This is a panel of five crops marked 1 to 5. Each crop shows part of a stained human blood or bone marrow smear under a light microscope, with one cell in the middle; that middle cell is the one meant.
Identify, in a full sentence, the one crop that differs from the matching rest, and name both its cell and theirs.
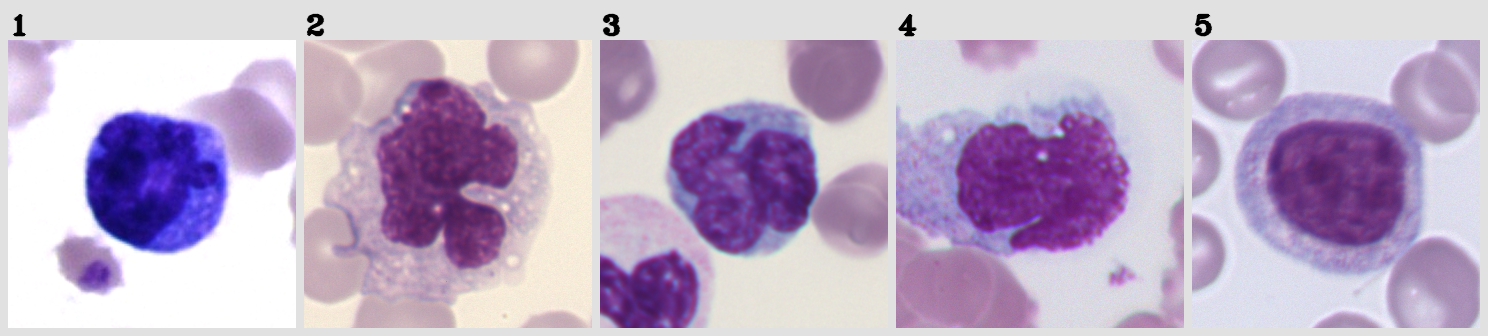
Every crop but one shows monocytes; the exception, crop 5, shows a myelocyte.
